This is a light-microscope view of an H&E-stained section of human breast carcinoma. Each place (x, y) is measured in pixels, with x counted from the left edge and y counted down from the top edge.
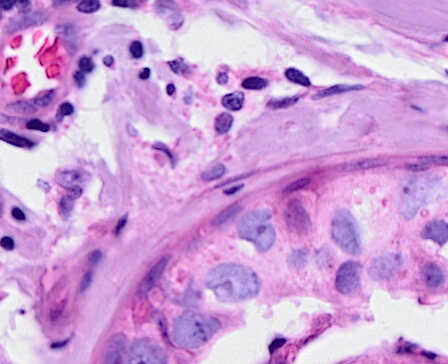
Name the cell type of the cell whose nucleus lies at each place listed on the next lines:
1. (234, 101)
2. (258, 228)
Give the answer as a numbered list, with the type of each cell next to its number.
1. lymphocyte
2. carcinoma cell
